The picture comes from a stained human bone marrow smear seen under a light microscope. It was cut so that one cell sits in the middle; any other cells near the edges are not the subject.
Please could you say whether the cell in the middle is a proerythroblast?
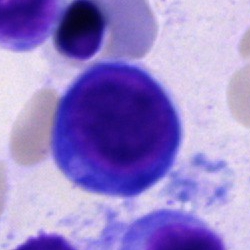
yes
